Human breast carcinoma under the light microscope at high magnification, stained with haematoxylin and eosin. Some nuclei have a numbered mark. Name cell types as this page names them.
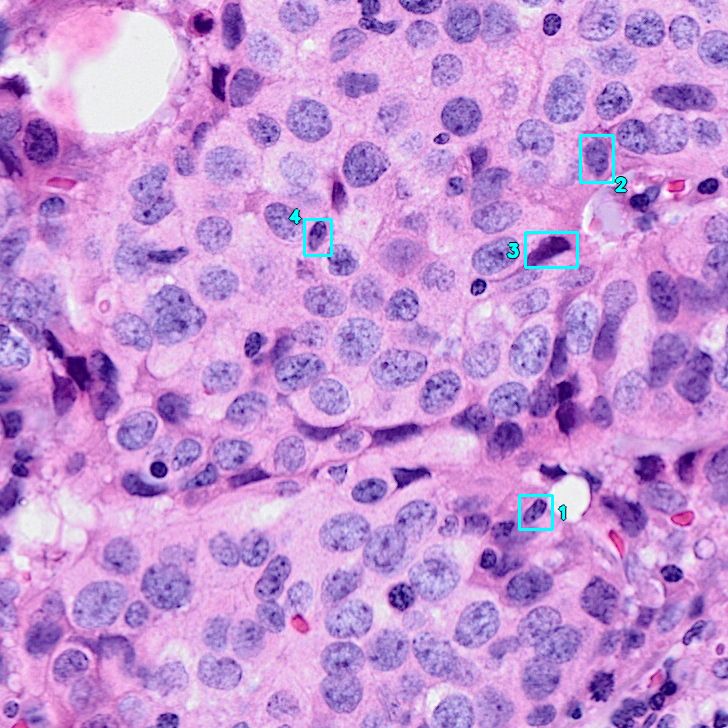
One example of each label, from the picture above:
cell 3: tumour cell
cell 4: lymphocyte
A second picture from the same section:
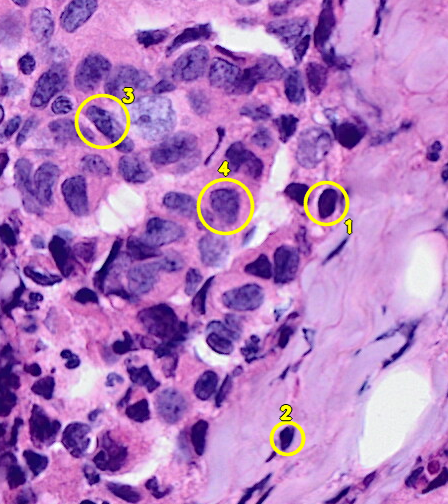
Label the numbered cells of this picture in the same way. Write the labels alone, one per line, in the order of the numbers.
tumour cell
lymphocyte
tumour cell
tumour cell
